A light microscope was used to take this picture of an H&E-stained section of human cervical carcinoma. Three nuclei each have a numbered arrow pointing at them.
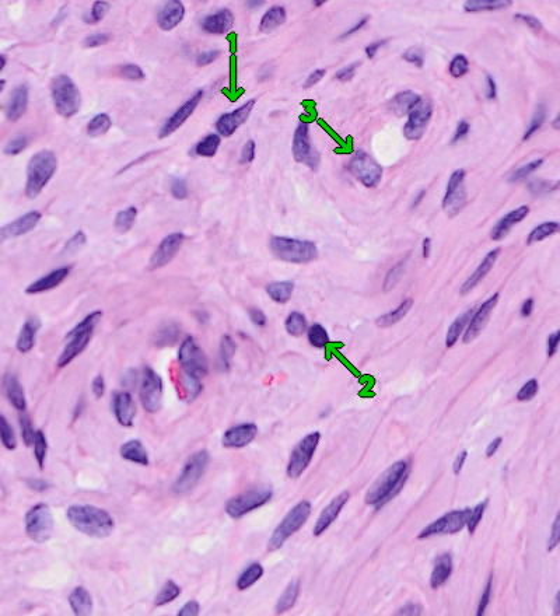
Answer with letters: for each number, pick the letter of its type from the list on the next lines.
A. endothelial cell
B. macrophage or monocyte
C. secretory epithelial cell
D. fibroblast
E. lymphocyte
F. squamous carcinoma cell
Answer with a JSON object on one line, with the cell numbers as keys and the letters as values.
{"1": "D", "2": "E", "3": "A"}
